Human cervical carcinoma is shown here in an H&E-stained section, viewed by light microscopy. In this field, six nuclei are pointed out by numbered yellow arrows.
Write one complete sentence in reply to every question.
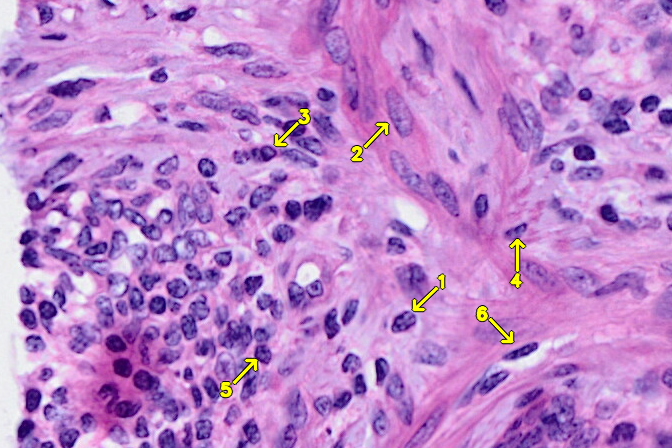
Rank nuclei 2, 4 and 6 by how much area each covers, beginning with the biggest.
The nuclei rank 2, 6, 4, from largest to smallest.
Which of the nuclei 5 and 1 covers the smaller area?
Nucleus 5 covers less area, with nucleus 1 about 2 times as large.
